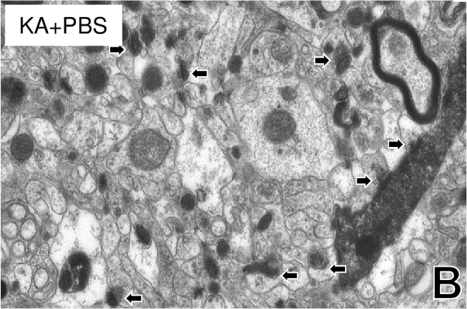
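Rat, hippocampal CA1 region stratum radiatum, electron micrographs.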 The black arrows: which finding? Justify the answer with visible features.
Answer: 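The arrows point to small, very dark, electron-dense profiles in the neuropil. These dark profiles stand out against the paler surrounding processes.
Degenerated synapses.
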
